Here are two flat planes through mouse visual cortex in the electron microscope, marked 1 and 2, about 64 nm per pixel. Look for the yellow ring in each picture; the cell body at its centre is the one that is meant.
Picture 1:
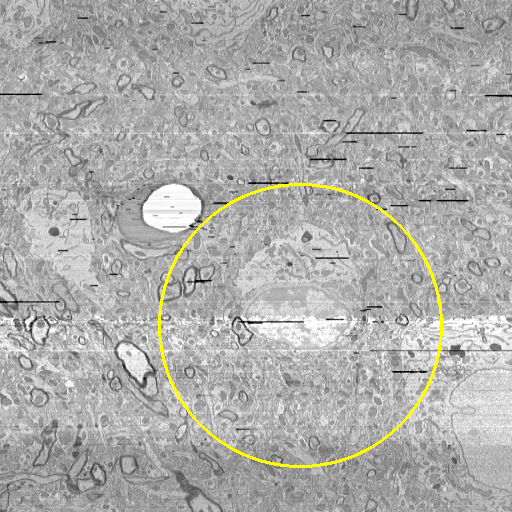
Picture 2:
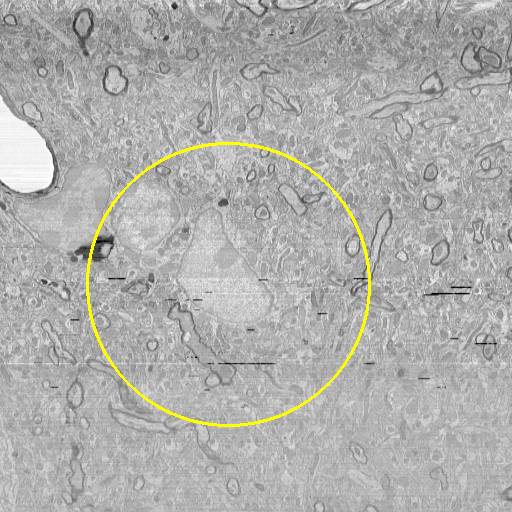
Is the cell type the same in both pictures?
No, the types are not the same, since picture 1 shows an oligodendrocyte and picture 2 an astrocyte.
